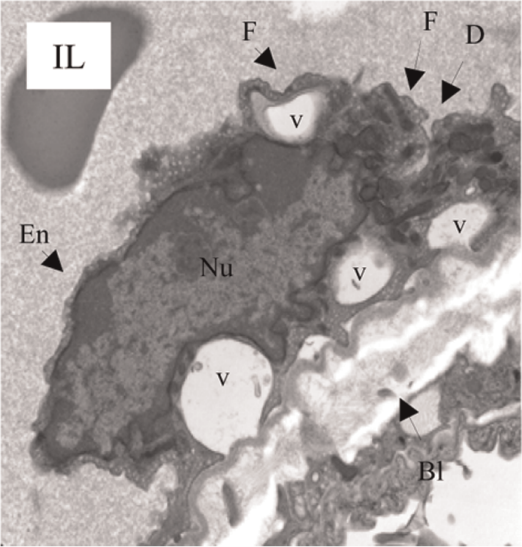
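This electron micrograph shows an endothelial cell lining a blood vessel, with a red blood cell in the lumen at left as a dense oval profile. The cell is dark and irregular, with a large nucleus occupying much of it. Its luminal surface is ruffled, with the membrane folded into projections and in places appearing interrupted. Several large, round, clear vacuoles lie within the cytoplasm and beneath the folded surface membrane. Below the cell lies the basal lamina, beyond which pale, disrupted spaces are seen. Compared with a normal flat lining cell, the outline is distorted and the cytoplasm is vacuolated, indicating damage.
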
